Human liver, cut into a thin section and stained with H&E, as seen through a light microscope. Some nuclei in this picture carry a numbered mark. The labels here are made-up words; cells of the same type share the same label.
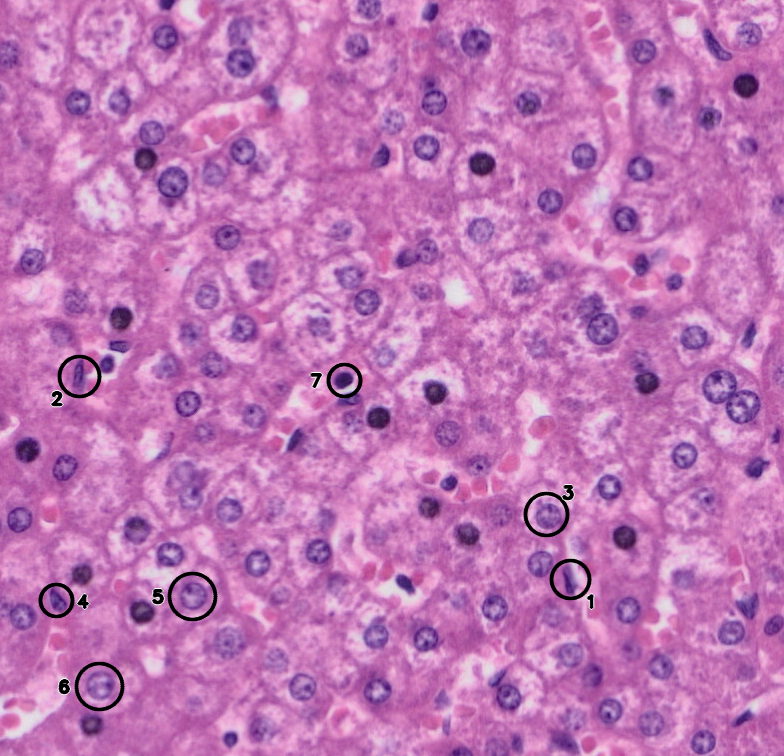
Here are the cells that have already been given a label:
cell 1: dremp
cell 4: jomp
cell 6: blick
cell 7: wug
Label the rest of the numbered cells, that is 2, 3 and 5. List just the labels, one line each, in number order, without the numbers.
dremp
blick
blick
